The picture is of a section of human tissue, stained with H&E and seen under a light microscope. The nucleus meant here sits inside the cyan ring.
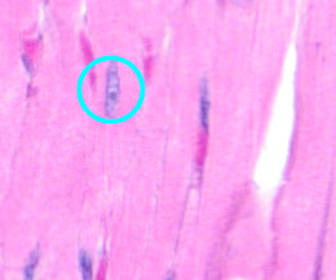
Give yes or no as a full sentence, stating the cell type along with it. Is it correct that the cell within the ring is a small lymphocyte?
No, the cell within the ring is a cardiomyocyte; calling it a small lymphocyte would be wrong.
